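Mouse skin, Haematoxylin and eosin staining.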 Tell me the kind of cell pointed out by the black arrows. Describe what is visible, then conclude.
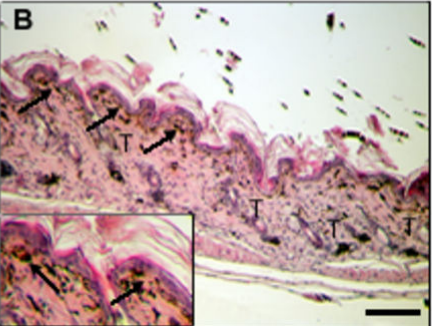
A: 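Extrafollicular melanocytes. The arrows point to dark brown-black pigmented cells in the epidermis and upper dermis. These pigmented cells lie outside the hair follicles. The inset shows the pigmented cells at higher magnification just beneath the surface.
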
